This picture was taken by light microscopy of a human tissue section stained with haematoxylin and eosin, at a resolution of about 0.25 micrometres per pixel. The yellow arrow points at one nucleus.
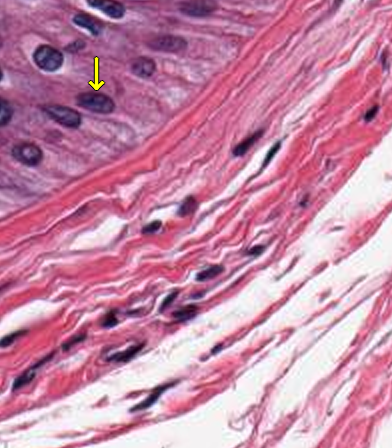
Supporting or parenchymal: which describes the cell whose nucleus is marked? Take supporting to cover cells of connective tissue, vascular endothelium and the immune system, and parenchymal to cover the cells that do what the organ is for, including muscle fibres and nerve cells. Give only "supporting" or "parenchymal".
parenchymal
